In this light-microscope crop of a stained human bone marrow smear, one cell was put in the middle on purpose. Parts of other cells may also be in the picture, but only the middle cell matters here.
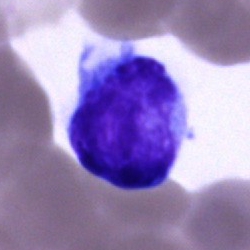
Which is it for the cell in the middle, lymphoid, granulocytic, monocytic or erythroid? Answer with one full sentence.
In the crop, the cell at the center is of lymphoid lineage.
